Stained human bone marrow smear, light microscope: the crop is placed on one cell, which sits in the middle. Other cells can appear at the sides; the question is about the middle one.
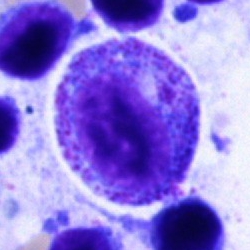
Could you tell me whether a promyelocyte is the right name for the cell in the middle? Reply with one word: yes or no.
yes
